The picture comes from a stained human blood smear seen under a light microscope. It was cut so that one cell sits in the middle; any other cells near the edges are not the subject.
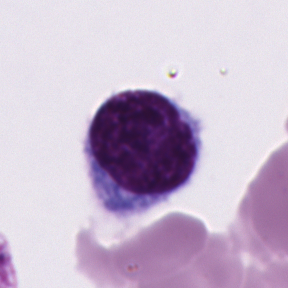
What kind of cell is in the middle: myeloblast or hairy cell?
hairy cell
